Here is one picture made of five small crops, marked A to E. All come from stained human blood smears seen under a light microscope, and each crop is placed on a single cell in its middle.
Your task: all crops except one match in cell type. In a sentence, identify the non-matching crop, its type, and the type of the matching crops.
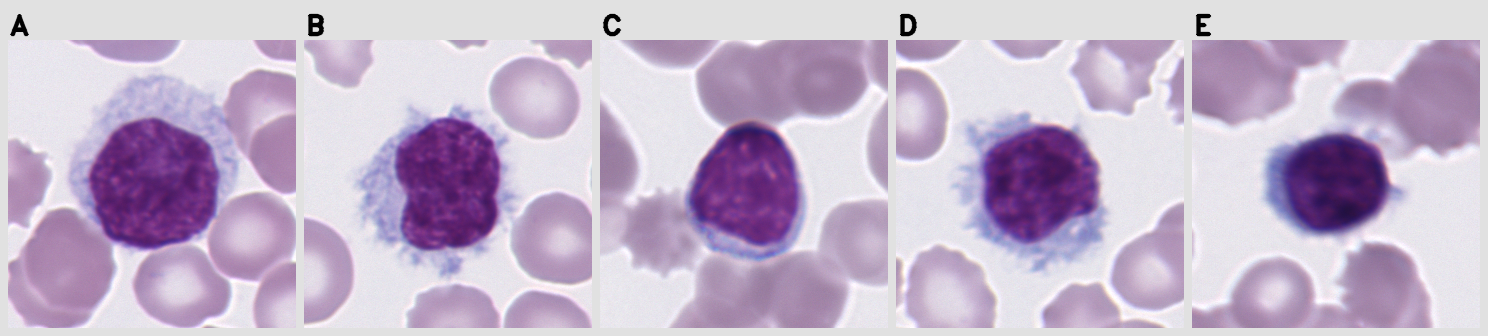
The exception in this group is crop C, a large granular lymphocyte, and the others are all hairy cells.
